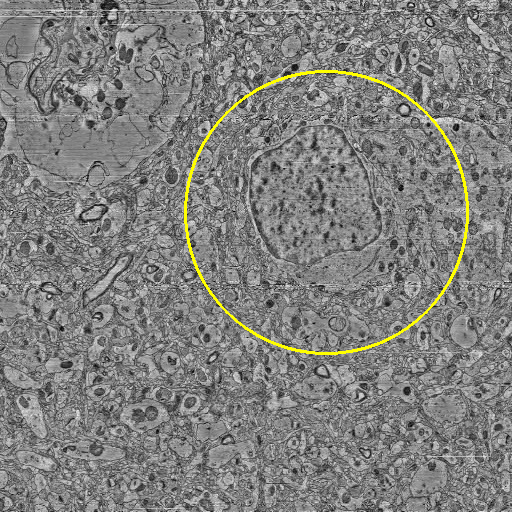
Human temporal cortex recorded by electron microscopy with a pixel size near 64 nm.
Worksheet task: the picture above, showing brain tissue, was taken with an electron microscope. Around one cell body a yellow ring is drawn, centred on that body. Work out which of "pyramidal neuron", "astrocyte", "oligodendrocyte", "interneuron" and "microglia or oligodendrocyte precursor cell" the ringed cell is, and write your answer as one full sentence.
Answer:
It is a microglial cell or oligodendrocyte precursor cell whose cell body lies at the centre of the yellow ring.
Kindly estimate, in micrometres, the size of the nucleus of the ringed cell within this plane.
The nucleus of the ringed cell is approximately 9 micrometres across in this plane.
